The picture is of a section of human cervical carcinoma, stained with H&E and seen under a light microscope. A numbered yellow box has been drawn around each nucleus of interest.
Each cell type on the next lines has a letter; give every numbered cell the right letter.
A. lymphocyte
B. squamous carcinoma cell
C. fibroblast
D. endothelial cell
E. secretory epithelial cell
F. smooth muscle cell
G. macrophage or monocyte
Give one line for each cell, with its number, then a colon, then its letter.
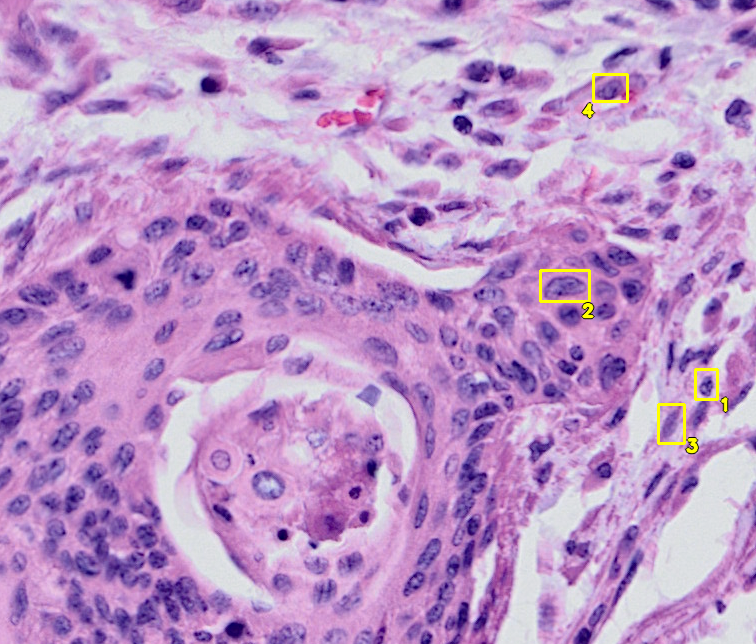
1: A
2: B
3: C
4: D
